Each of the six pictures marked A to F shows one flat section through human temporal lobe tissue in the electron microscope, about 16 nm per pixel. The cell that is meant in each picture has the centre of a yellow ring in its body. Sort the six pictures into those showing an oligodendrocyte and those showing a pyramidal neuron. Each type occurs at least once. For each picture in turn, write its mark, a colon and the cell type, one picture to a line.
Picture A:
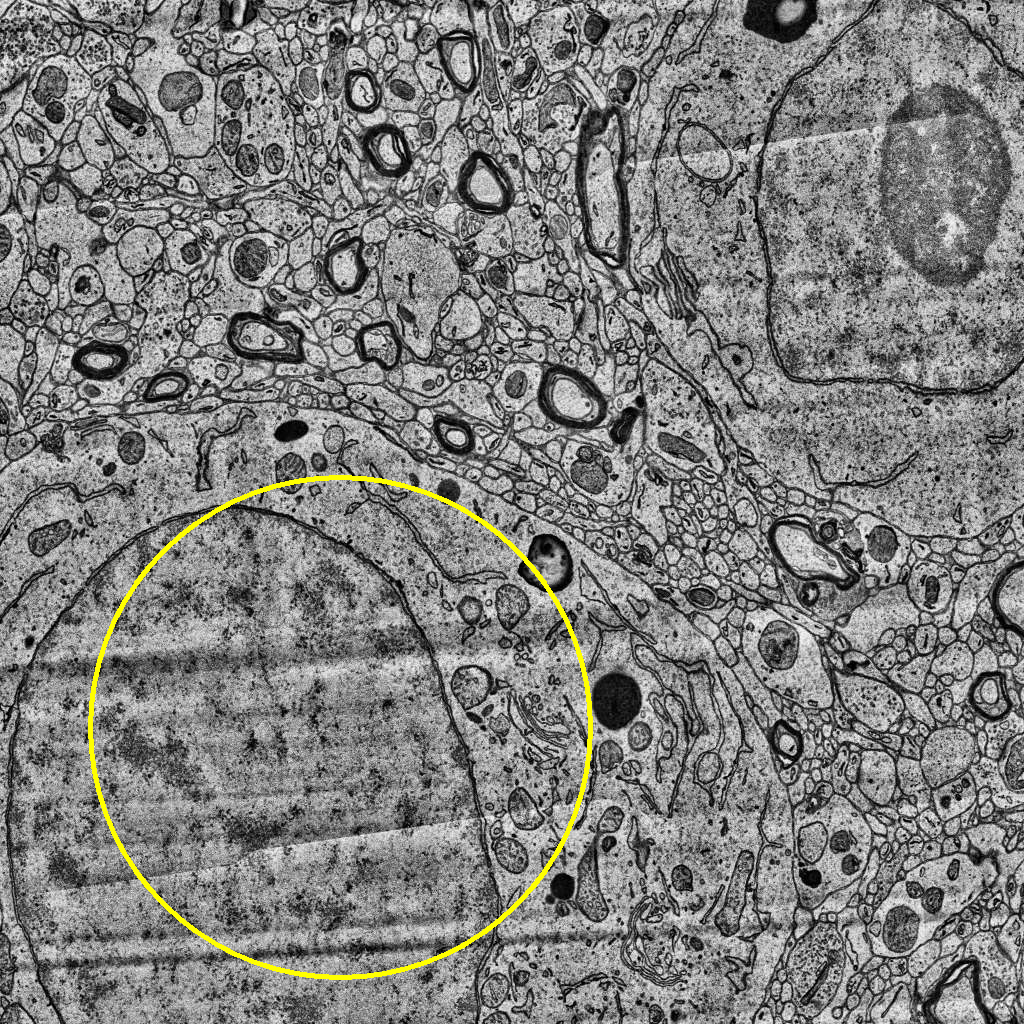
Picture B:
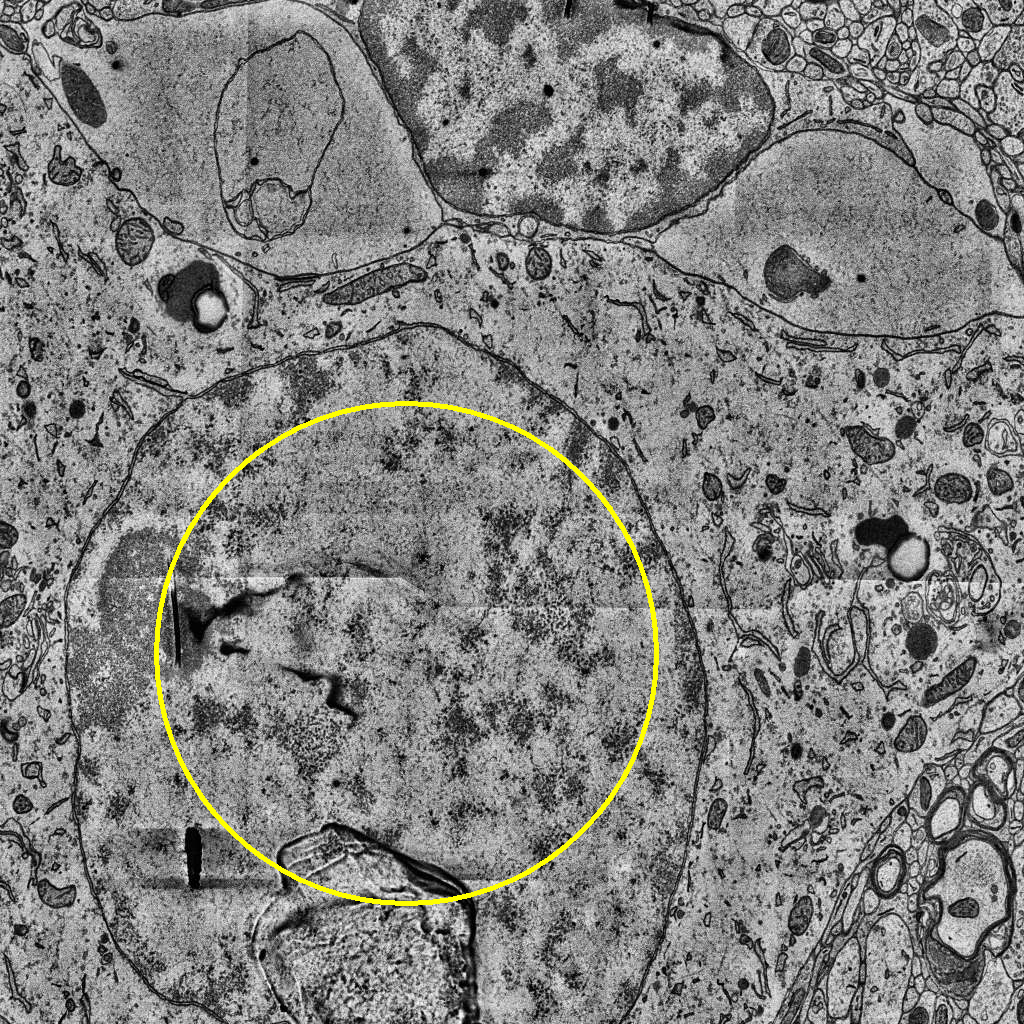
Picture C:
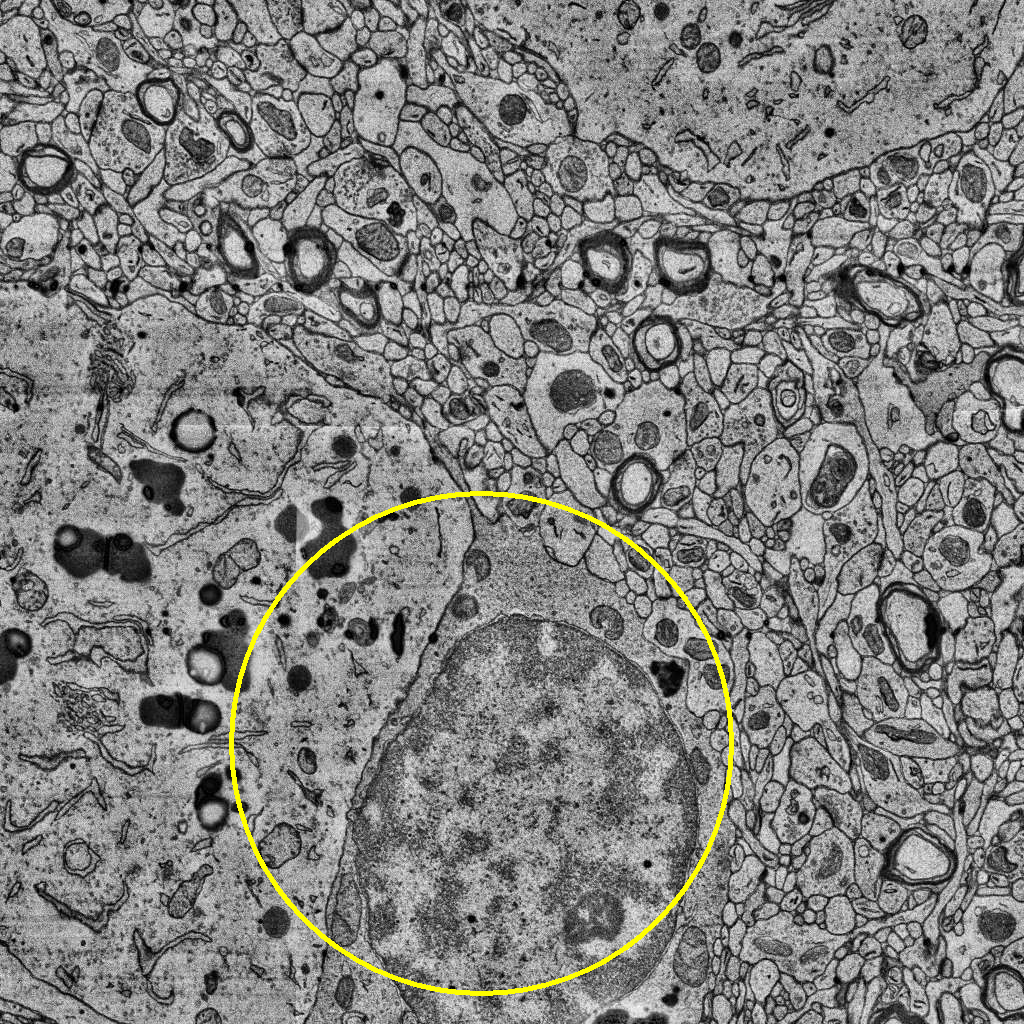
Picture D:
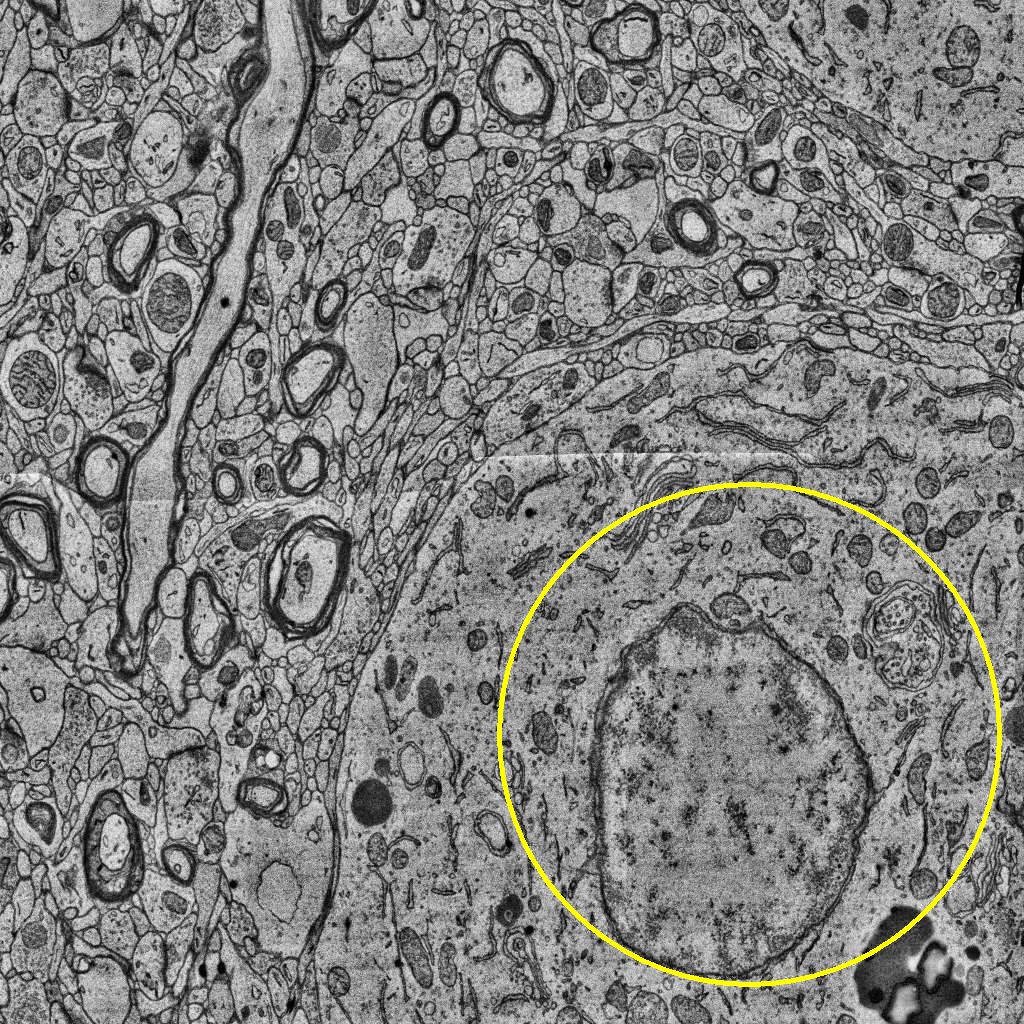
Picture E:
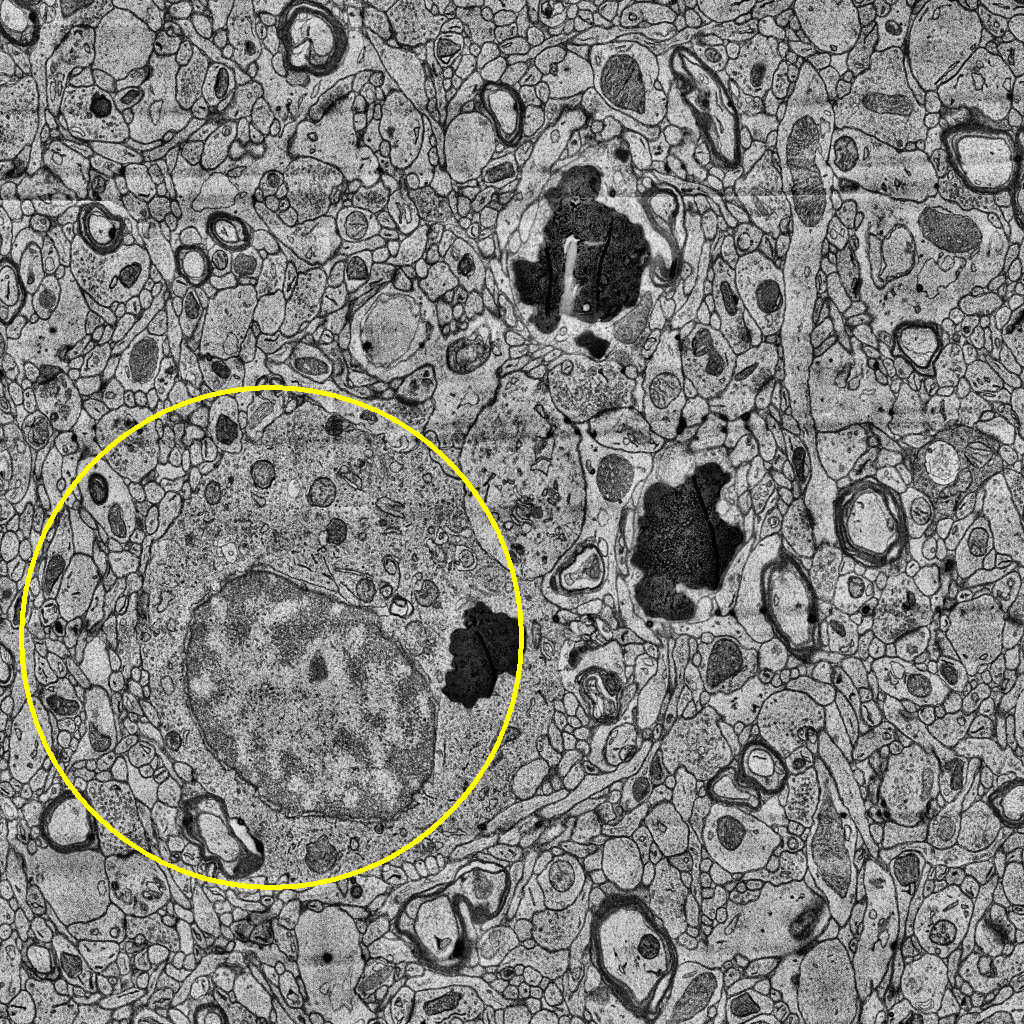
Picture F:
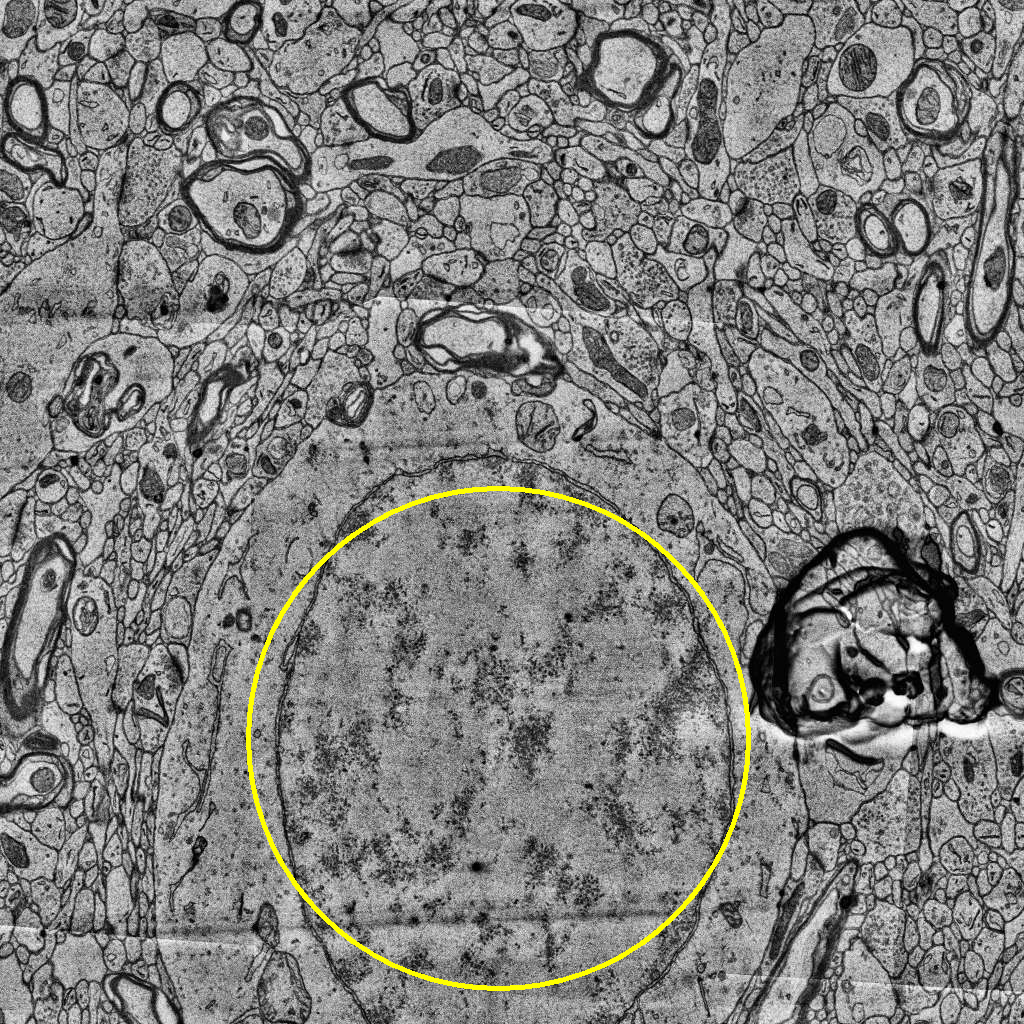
A: pyramidal neuron
B: pyramidal neuron
C: oligodendrocyte
D: pyramidal neuron
E: oligodendrocyte
F: pyramidal neuron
